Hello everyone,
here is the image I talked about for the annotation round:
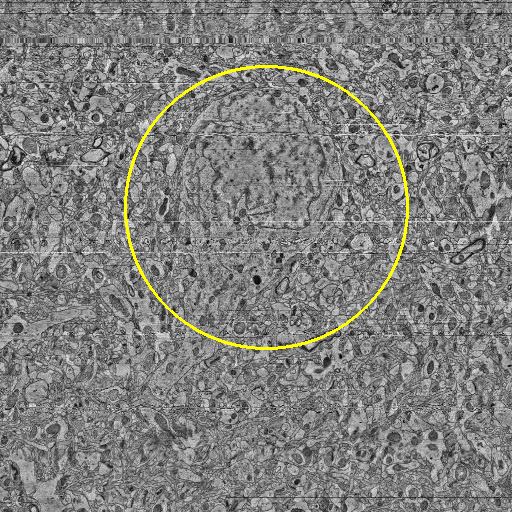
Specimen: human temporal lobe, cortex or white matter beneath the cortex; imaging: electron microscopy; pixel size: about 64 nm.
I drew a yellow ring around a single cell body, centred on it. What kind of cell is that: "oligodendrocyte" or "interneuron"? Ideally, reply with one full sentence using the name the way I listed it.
The cell your yellow ring is centred on is an interneuron, going by your list.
